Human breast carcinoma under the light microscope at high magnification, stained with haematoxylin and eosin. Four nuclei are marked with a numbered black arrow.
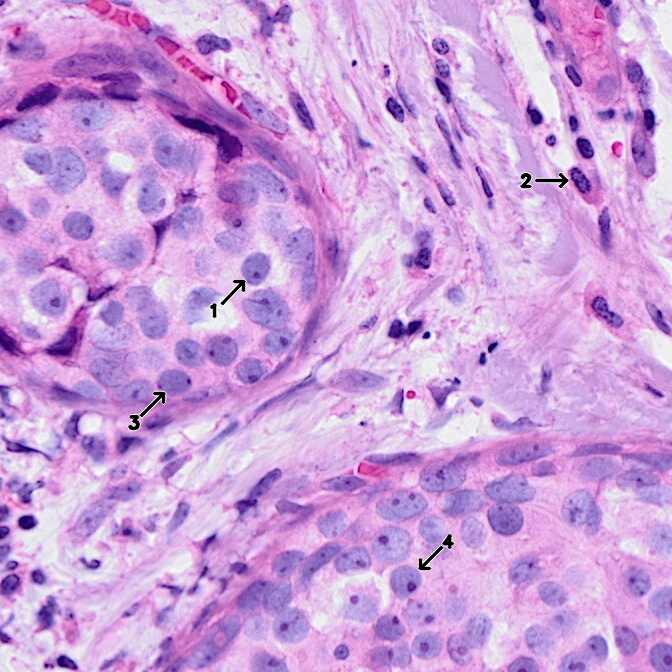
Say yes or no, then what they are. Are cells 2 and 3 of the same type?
No, whereas cell 3 is a carcinoma cell, cell 2 is a mast cell.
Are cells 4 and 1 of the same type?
Yes, the cell marked 4 and the cell marked 1 are both carcinoma cells.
